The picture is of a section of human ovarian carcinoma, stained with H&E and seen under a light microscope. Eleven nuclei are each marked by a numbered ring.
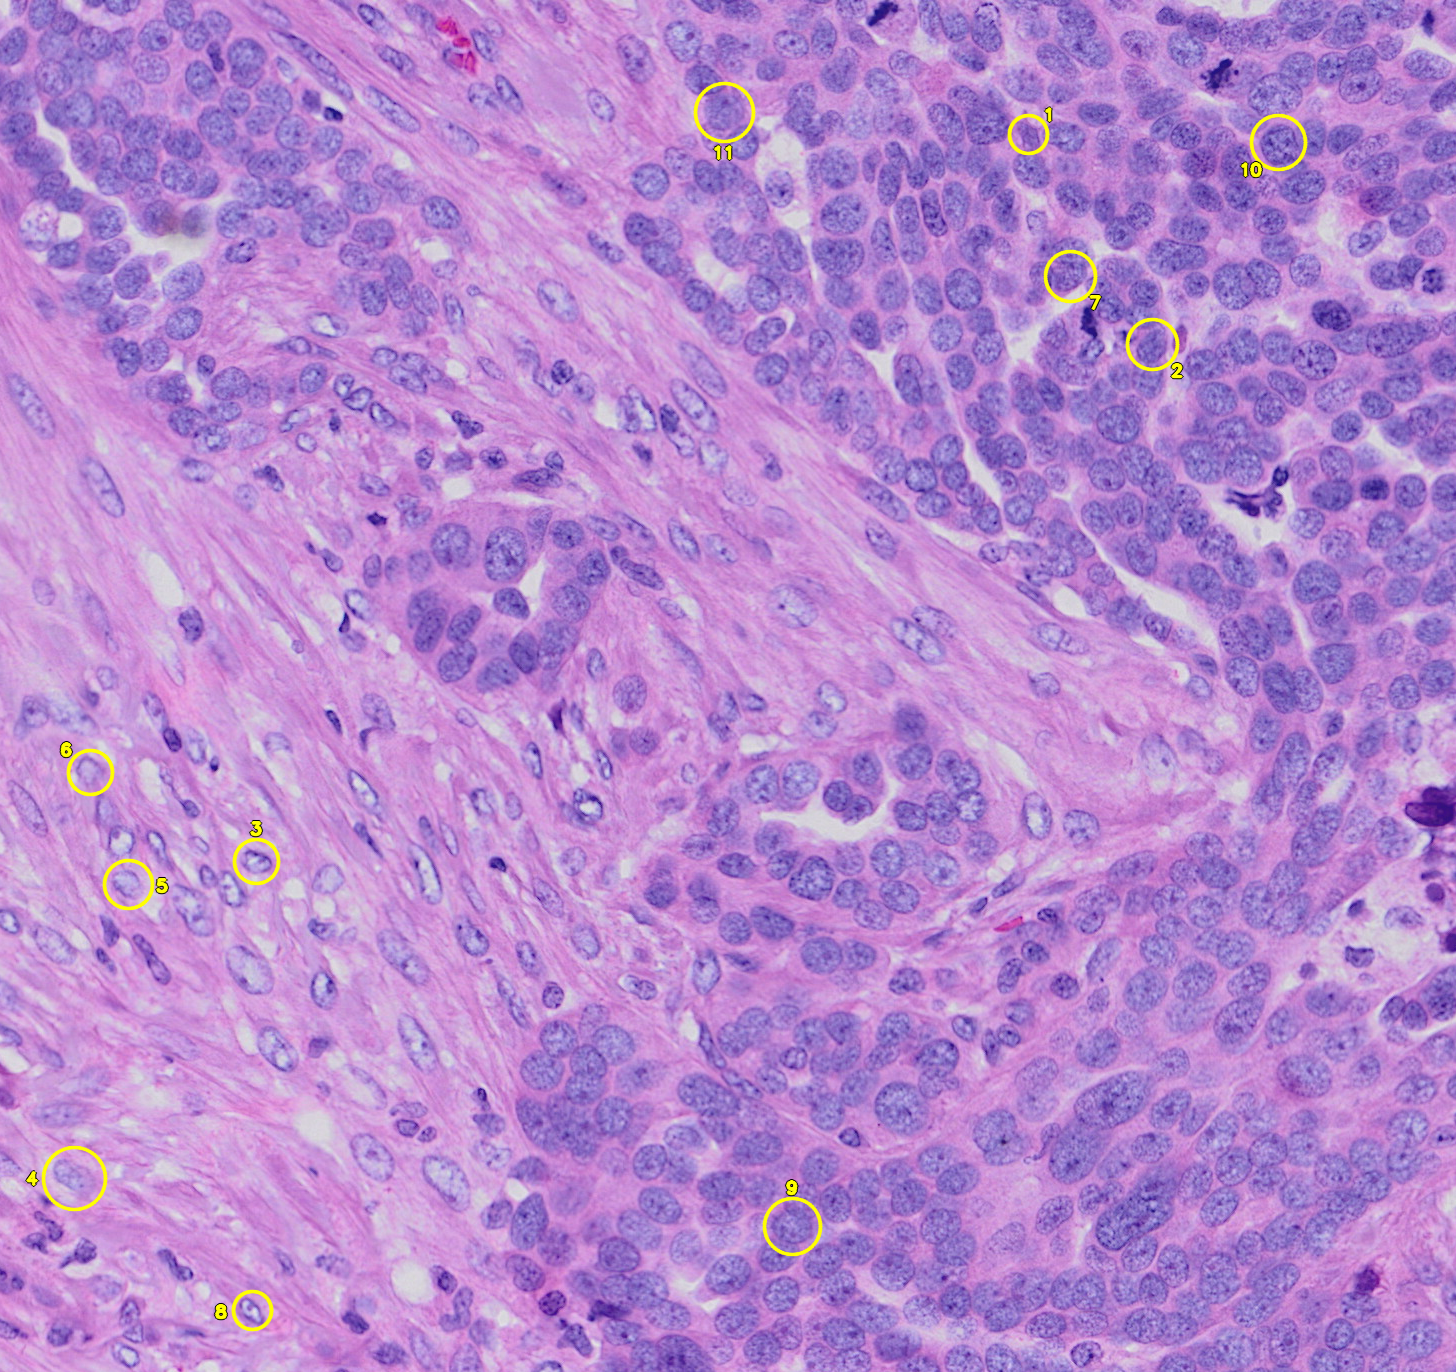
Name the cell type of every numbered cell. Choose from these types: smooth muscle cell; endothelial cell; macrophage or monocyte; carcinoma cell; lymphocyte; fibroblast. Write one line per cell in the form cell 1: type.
cell 1: carcinoma cell
cell 2: carcinoma cell
cell 3: fibroblast
cell 4: fibroblast
cell 5: fibroblast
cell 6: fibroblast
cell 7: carcinoma cell
cell 8: fibroblast
cell 9: carcinoma cell
cell 10: carcinoma cell
cell 11: carcinoma cell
